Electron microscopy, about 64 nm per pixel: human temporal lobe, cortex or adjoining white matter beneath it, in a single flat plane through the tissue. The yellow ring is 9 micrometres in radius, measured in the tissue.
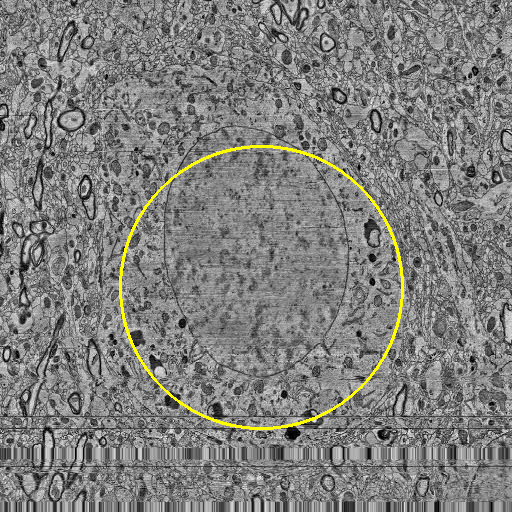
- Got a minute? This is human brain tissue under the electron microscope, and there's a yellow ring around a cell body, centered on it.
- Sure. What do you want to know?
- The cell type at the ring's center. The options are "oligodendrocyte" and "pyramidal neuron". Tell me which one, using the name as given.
pyramidal neuron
